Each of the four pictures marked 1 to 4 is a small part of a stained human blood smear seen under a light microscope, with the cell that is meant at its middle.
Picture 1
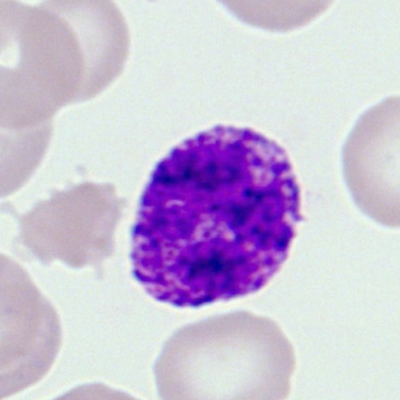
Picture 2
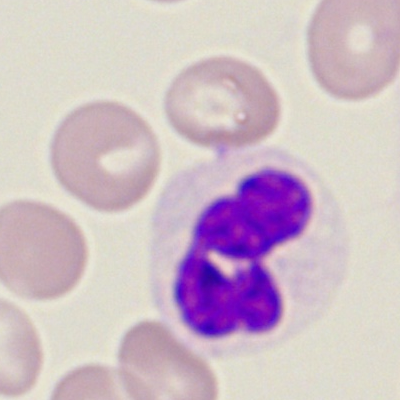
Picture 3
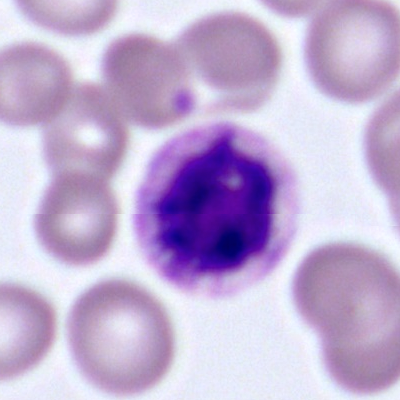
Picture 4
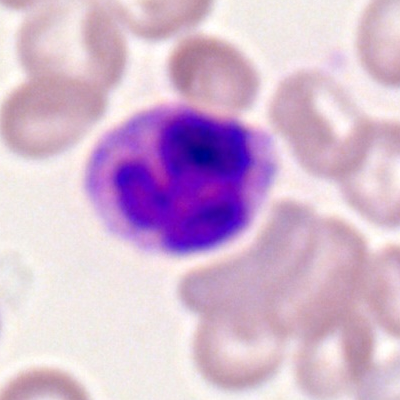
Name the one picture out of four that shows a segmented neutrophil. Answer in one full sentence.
The cell in picture 2 is the segmented neutrophil.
